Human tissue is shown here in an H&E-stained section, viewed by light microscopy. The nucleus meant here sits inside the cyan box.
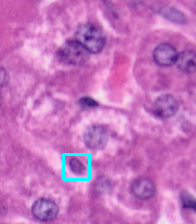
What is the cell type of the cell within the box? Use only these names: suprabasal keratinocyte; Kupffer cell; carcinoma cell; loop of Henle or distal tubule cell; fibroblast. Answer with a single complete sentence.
Histopathologically, the cell within the box is a Kupffer cell.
